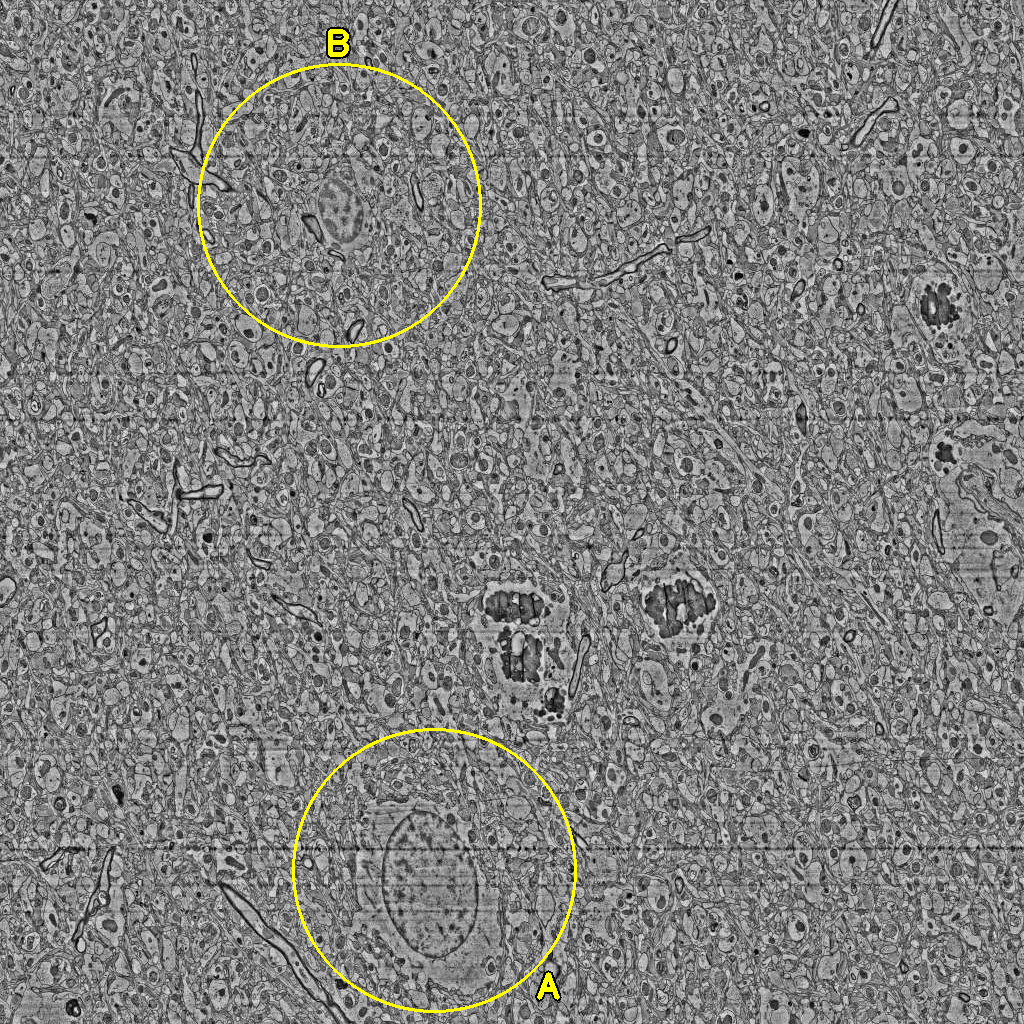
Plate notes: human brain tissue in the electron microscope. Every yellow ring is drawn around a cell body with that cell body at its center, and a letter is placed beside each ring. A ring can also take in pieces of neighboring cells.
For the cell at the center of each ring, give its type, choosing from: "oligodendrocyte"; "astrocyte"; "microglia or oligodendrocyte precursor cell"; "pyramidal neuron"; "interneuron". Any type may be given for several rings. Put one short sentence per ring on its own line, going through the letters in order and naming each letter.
Ring A shows an astrocyte at the center.
Ring B shows an oligodendrocyte at the center.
